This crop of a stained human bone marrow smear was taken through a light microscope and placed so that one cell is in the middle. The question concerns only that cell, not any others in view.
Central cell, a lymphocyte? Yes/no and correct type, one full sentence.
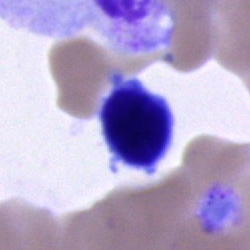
Yes, as for the central cell, it is a lymphocyte.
